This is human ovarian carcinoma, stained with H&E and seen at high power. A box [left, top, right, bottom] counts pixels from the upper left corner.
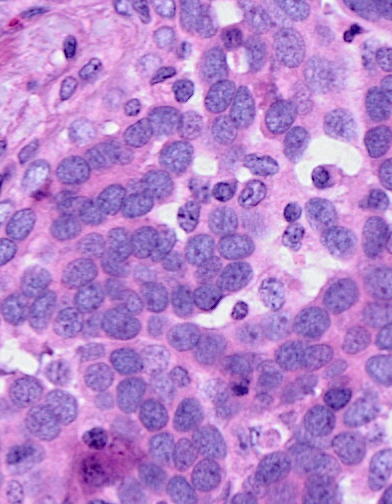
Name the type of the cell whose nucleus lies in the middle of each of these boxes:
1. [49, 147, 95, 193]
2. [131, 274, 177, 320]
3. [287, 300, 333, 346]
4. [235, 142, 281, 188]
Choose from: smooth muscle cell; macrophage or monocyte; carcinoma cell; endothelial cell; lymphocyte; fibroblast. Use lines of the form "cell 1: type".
cell 1: carcinoma cell
cell 2: carcinoma cell
cell 3: carcinoma cell
cell 4: macrophage or monocyte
